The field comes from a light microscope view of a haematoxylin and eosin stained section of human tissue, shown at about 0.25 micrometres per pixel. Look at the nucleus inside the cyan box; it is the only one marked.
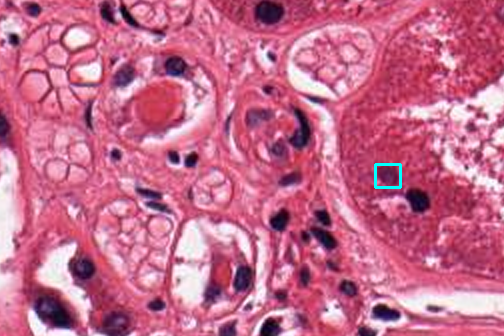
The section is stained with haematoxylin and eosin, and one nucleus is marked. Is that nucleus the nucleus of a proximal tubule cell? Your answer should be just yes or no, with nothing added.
yes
